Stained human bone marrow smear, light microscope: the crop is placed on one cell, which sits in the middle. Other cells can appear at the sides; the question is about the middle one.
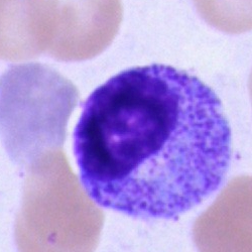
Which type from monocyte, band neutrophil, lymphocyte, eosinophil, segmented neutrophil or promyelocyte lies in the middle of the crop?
promyelocyte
